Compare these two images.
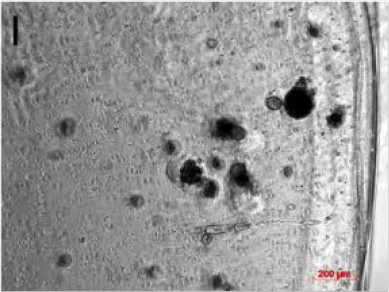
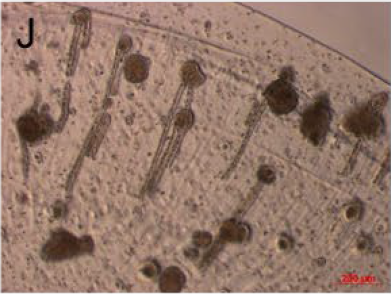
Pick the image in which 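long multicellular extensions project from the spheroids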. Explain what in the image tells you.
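Second image: many long tube-like projections extend from the spheroids. First image: spheroids are mostly round with hardly any projections. On this evidence: the second image.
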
